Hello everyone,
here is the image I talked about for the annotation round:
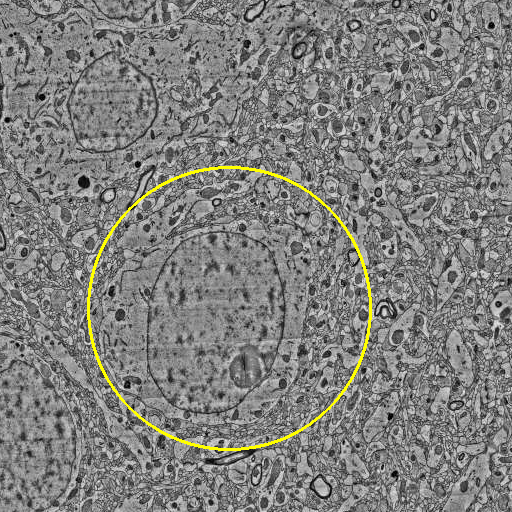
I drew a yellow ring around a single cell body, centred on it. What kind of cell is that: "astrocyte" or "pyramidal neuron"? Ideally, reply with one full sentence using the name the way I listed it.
The cell your yellow ring is centred on is a pyramidal neuron, going by your list.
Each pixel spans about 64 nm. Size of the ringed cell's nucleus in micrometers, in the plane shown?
The nucleus of the ringed cell is approximately 12 by 9 micrometres in this plane.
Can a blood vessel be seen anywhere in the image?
No, a blood vessel is absent from this picture.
